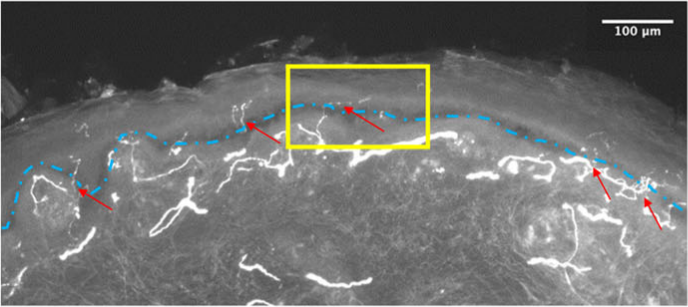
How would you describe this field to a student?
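At low power a strip of skin shows the epidermis as a smooth band along the surface and the fibrous dermis beneath, with their boundary at the basement membrane marked by a dashed line. Bright, thick, winding nerve fibers course through the upper dermis, many running parallel to the surface. A few thin fibers rise from these and cross the basement membrane into the epidermis at scattered points along its length.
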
